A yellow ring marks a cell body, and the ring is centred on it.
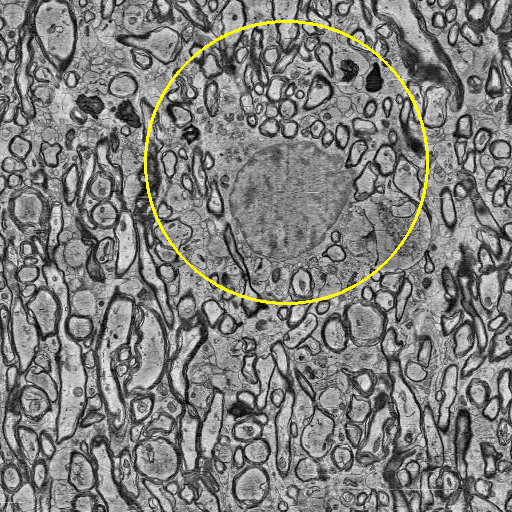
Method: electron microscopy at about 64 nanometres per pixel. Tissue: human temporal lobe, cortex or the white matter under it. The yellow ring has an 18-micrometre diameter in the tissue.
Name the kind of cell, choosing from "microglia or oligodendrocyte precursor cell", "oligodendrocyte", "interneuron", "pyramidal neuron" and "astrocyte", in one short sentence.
The marked cell body belongs to an oligodendrocyte.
